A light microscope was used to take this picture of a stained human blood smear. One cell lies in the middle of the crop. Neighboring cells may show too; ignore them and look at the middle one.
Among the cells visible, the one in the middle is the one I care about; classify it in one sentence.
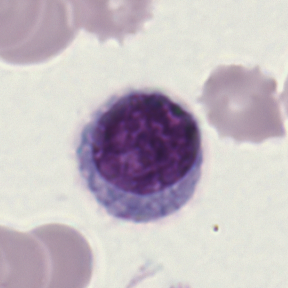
The crop centres on a single cell, and that cell is a plasma cell.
